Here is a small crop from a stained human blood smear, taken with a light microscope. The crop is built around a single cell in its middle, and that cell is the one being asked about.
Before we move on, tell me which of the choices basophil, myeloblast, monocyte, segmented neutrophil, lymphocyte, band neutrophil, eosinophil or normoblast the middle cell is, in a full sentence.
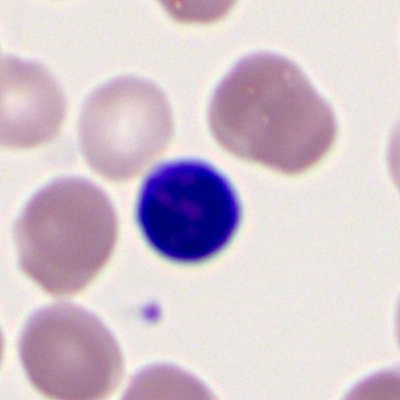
Within this crop, a lymphocyte occupies the central position.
